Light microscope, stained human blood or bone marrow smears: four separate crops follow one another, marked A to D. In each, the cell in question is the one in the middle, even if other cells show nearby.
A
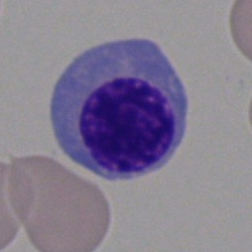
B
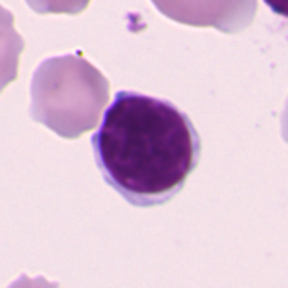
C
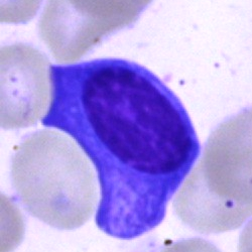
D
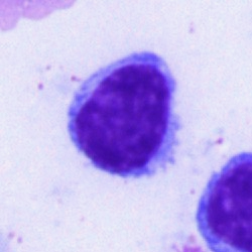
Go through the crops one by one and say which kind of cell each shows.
A: normoblast
B: lymphocyte
C: plasma cell
D: lymphocyte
